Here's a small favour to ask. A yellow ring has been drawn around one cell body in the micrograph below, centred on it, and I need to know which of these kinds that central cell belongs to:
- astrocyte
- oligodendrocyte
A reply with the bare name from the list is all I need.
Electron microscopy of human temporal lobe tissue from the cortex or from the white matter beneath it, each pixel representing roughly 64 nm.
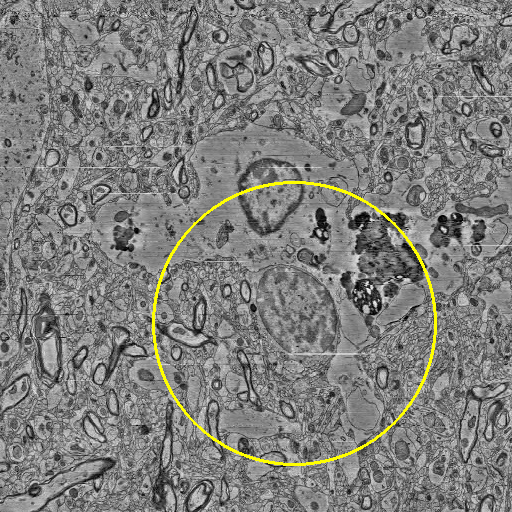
oligodendrocyte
